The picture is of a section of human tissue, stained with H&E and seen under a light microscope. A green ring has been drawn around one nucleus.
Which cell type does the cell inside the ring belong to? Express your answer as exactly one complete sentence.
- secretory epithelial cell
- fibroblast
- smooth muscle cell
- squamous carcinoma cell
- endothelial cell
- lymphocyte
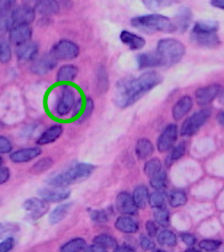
Recorded by type, the cell inside the ring is a secretory epithelial cell.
